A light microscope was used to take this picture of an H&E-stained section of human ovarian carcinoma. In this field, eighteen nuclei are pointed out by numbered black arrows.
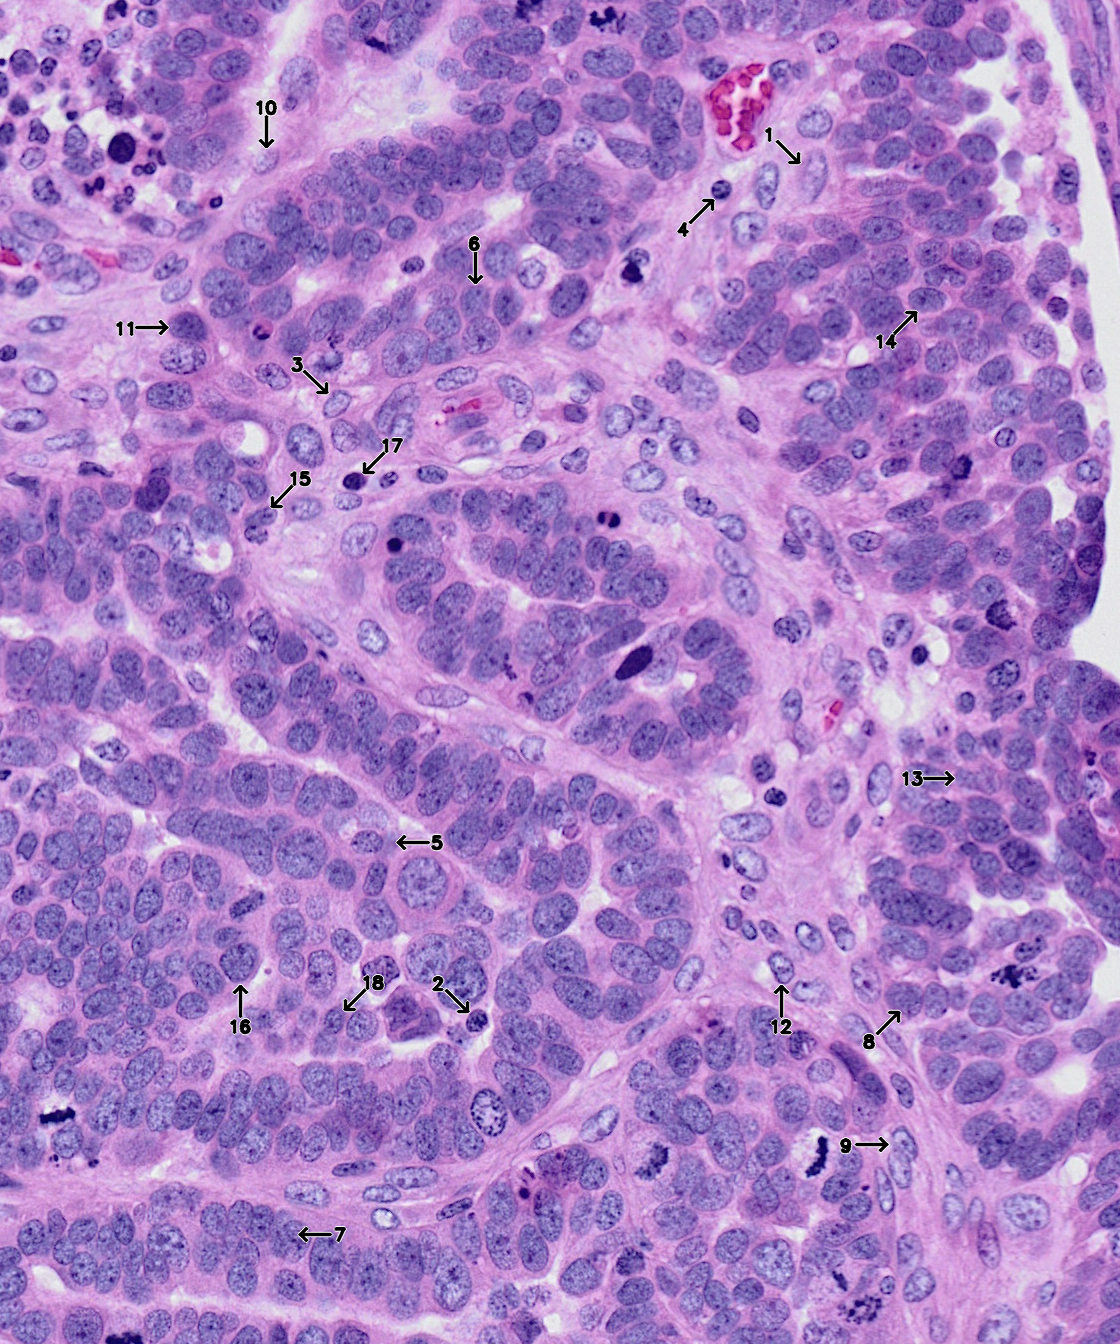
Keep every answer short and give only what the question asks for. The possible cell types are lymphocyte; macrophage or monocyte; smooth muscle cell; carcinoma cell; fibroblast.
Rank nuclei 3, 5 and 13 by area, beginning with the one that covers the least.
13, 3, 5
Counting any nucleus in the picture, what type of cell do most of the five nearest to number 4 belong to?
fibroblast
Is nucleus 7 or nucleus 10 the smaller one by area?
10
